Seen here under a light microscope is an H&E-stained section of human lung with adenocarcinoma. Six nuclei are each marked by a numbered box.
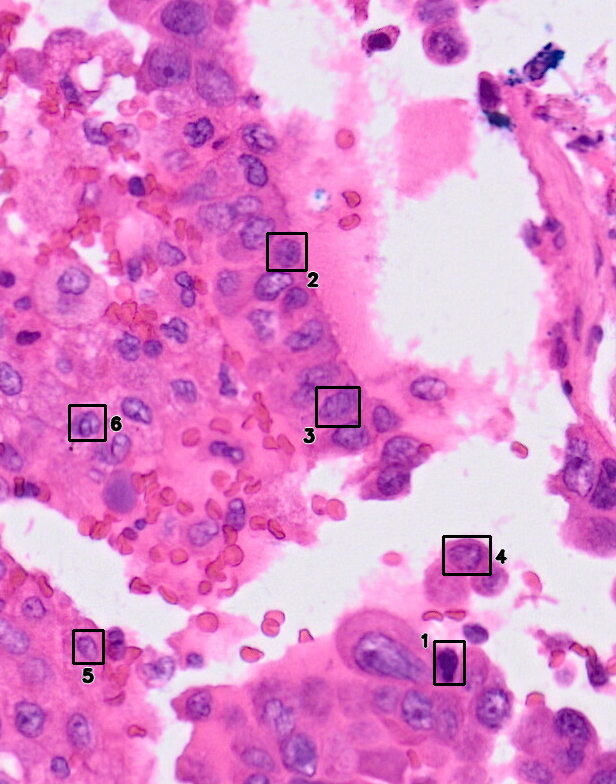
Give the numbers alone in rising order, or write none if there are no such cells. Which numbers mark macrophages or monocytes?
5, 6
